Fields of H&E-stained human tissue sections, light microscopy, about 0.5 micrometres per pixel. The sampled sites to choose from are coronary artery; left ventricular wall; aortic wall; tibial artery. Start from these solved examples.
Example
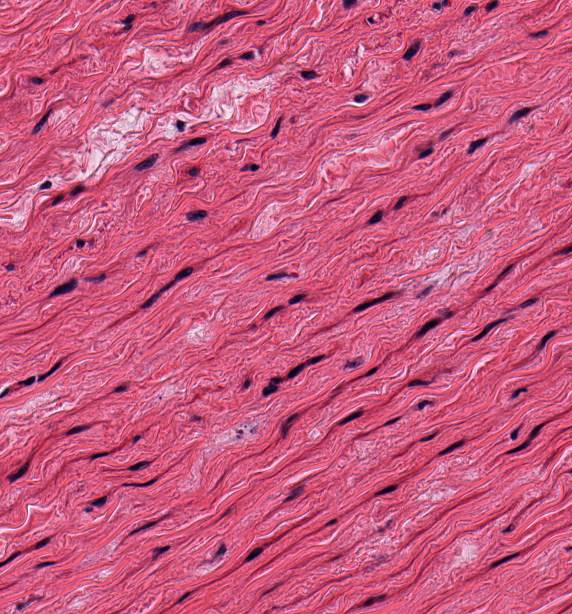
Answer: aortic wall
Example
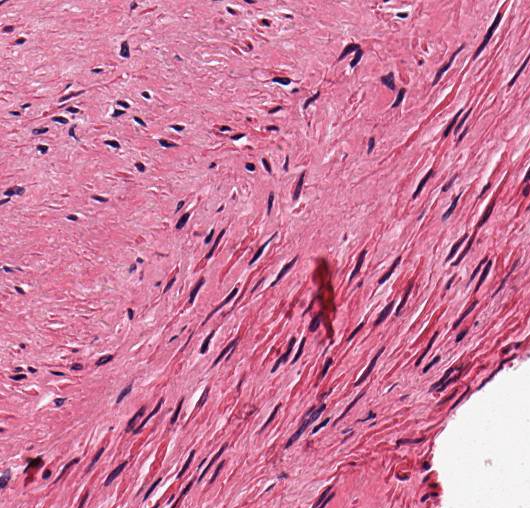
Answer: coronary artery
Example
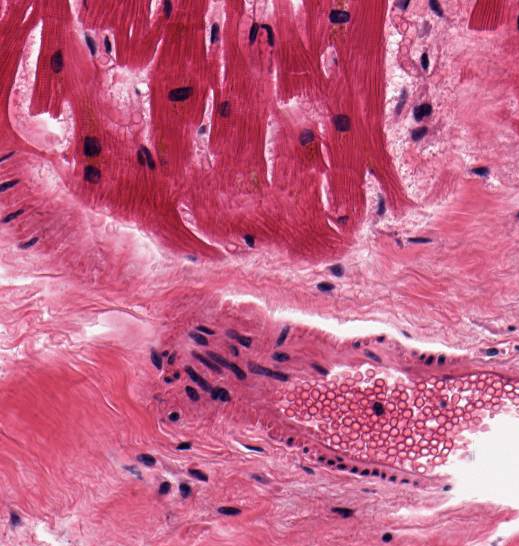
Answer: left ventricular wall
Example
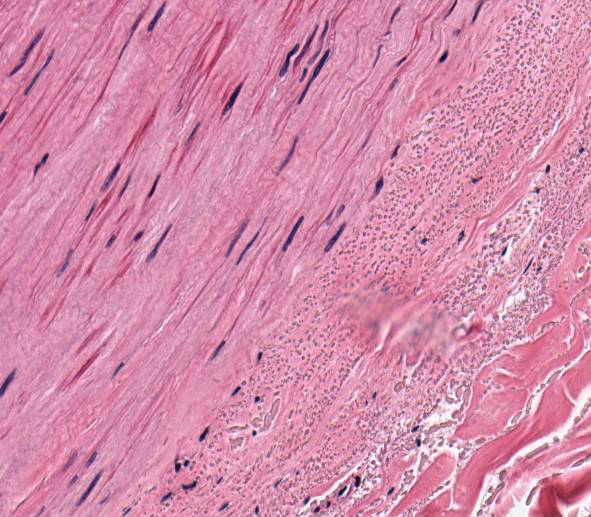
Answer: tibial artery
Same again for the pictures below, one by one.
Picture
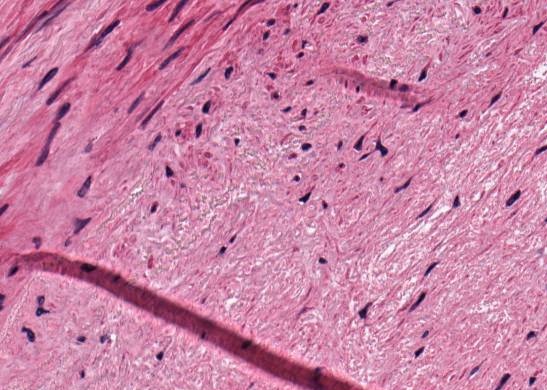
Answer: coronary artery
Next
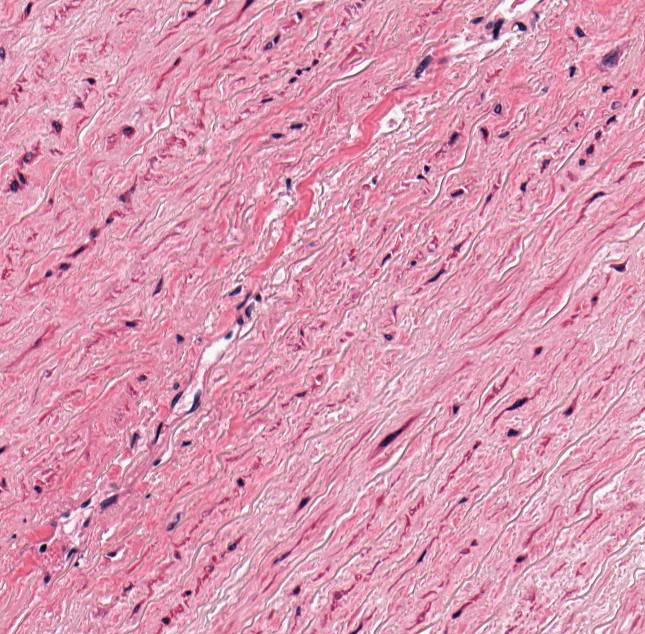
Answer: aortic wall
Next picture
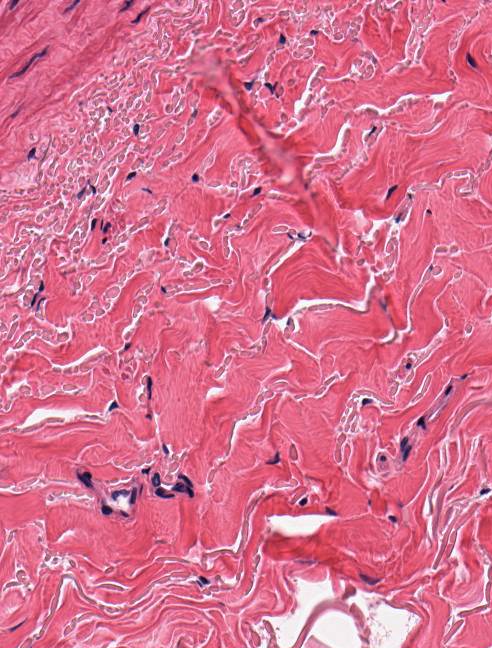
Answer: tibial artery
